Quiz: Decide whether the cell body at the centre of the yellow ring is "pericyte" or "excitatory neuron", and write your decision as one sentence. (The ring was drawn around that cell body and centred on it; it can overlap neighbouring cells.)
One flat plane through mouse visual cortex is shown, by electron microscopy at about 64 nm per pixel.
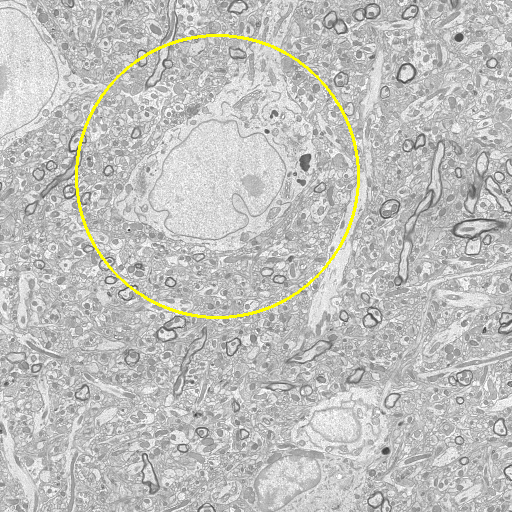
The cell the ring is centred on is an excitatory neuron.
